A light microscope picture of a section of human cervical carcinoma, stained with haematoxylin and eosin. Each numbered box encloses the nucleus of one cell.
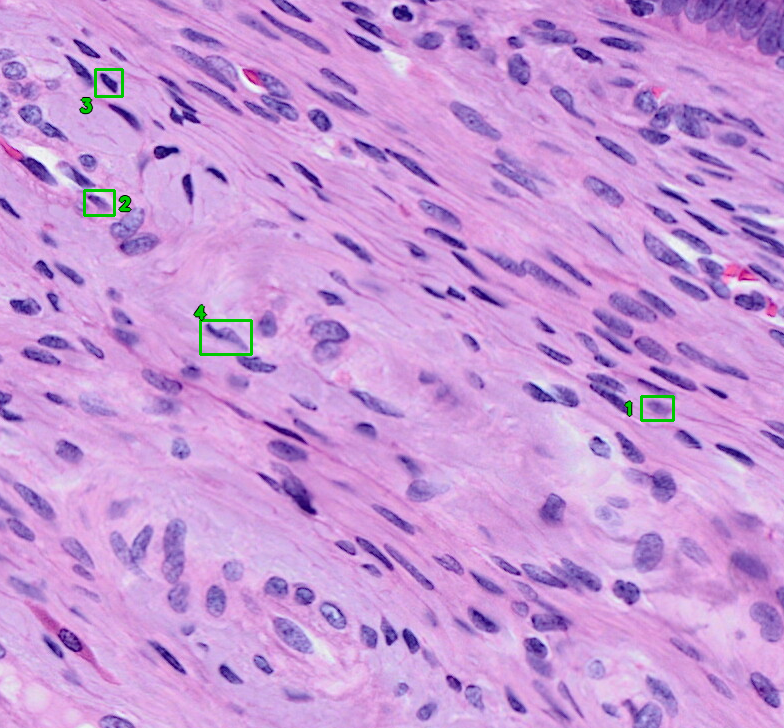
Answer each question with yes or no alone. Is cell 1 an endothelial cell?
no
